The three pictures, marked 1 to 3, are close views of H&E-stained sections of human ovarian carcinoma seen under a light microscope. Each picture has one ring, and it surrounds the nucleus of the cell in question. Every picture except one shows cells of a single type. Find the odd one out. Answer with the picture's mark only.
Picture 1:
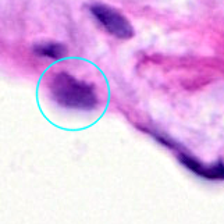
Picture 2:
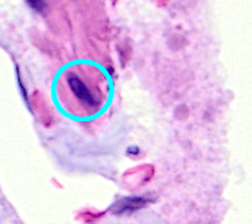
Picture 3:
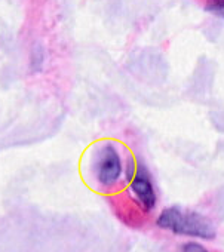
2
